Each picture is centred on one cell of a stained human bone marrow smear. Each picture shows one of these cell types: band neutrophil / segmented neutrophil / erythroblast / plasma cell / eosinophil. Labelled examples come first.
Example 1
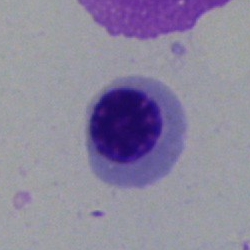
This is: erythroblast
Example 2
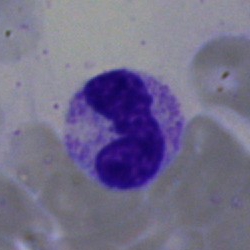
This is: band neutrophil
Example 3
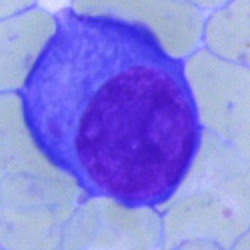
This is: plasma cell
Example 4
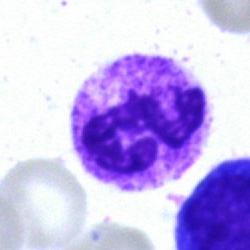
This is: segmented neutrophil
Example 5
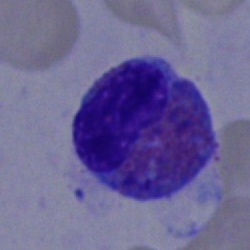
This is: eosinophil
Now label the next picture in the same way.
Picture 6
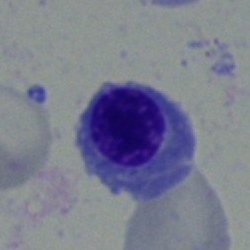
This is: erythroblast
